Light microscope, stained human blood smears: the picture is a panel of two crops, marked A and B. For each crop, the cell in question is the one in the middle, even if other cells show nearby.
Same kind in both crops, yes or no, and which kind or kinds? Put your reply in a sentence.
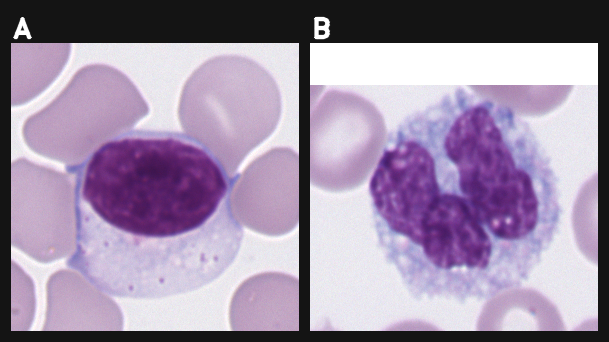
No, in crop B the central cell is a monocyte, and in crop A it is a large granular lymphocyte.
